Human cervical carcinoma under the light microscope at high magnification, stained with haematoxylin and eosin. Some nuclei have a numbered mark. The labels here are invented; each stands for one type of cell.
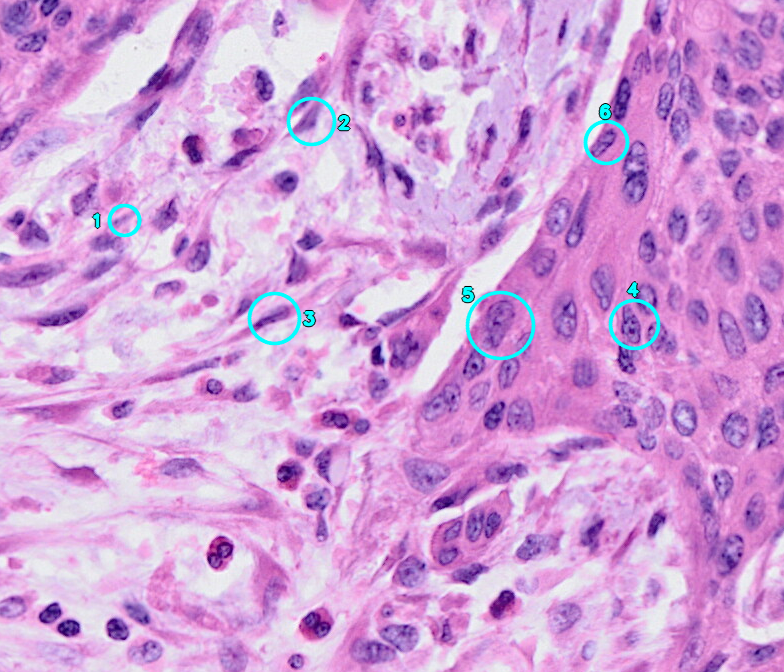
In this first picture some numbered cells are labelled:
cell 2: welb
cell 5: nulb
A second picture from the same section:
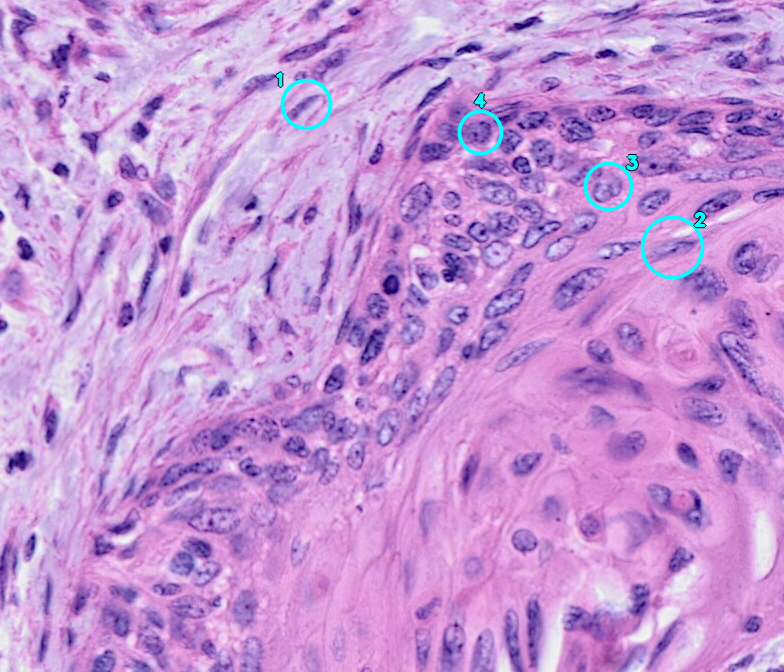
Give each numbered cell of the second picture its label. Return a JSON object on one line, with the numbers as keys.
{"1": "welb", "2": "nulb", "3": "nulb", "4": "nulb"}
